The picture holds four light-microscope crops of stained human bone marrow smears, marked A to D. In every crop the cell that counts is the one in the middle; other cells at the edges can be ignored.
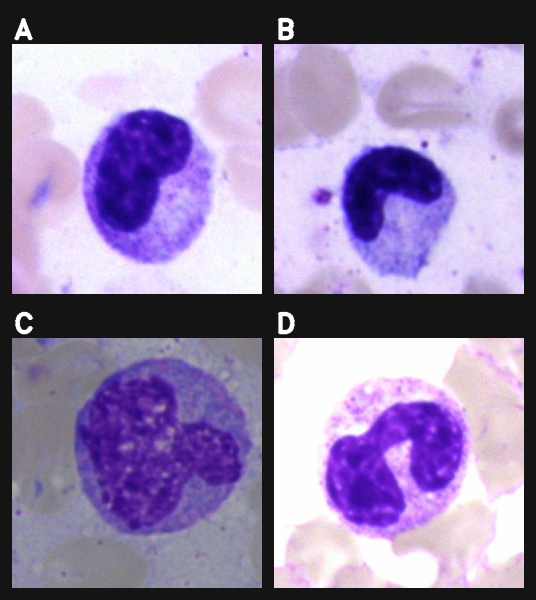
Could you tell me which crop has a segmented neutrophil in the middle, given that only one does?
D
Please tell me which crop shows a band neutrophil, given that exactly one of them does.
B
